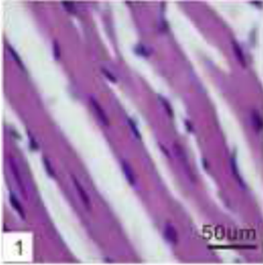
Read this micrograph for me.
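Cardiac muscle cut along the long axis of cardiomyocytes, stained pink with dark blue-purple nuclei. The fibers are long, band-like and run in parallel diagonally across the field. Elongated, spindle-shaped nuclei lie within the fibers, aligned with their long axis.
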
